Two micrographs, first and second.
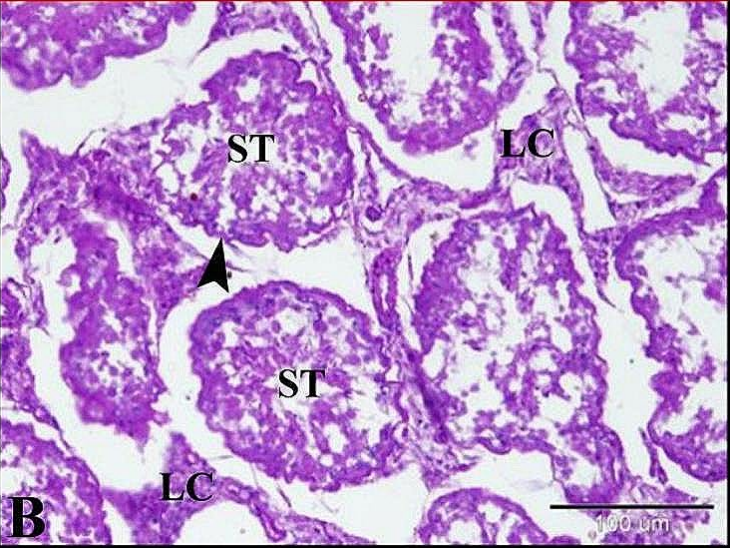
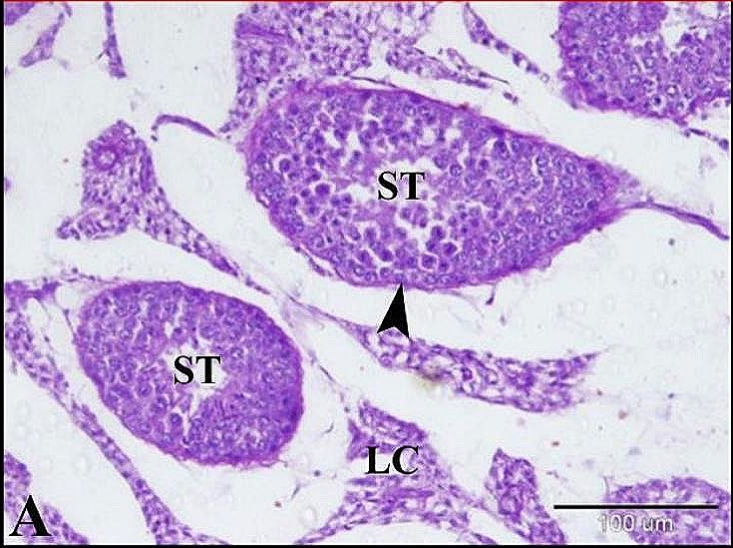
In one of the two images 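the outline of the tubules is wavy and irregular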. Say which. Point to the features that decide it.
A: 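First image: tubule borders are undulating and scalloped. Second image: tubule borders are smooth, even ovals.
The first image.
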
